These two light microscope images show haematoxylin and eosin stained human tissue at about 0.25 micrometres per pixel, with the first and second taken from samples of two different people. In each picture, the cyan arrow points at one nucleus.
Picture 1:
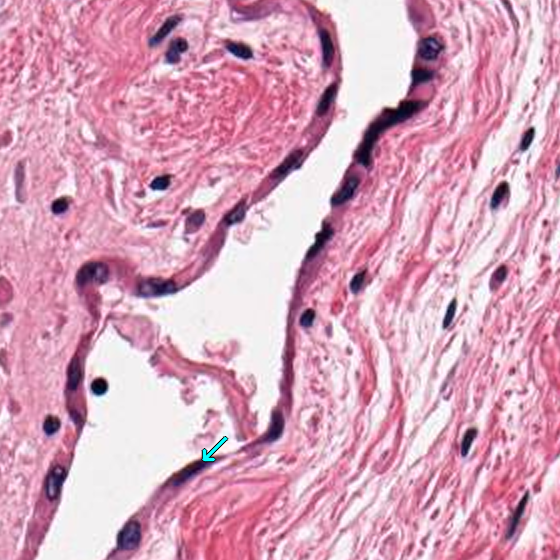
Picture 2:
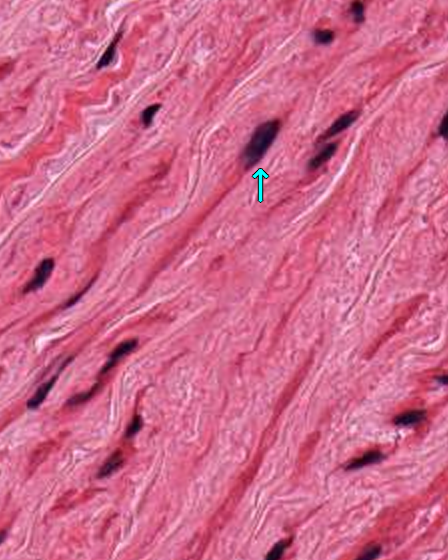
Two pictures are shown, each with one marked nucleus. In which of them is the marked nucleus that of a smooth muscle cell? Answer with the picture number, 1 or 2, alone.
2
